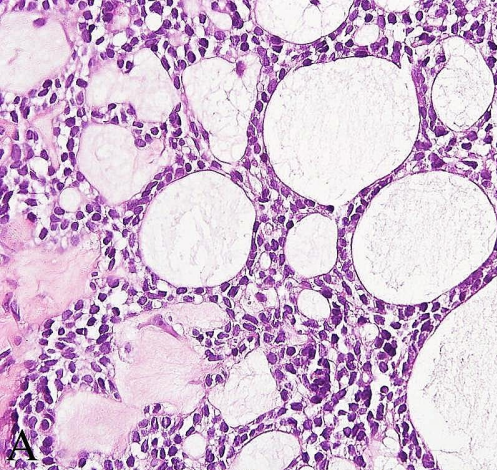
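Here we are looking at tumor tissue in which the tumor cells form sheets and thin cords between many round spaces. These spaces vary from small to large, have smooth outlines, and contain only pale, wispy material, giving the tissue a microcystic look. The tumor cells are crowded, with round to oval, darkly stained nuclei; around some of them the cytoplasm is pale and clear rather than pink. Toward the left edge there are patches of pale pink, amorphous material lying between the cells. The cells lining the spaces are flattened, while those in the solid areas are packed closely together.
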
